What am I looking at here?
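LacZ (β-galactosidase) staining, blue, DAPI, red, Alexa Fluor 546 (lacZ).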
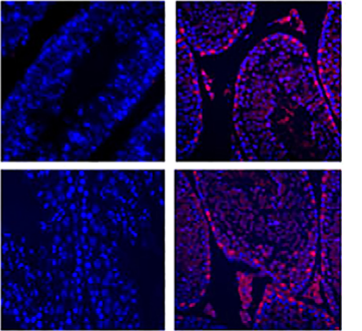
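Four fluorescence images show tissue made of densely packed blue-stained nuclei. In the right-hand pair the tissue falls into round to oval tubule cross-sections, each bounded by a thin wall and separated from its neighbours by narrow dark gaps. Within these tubules red staining marks cells, many of them lined up along the outer rim of the tubule, with further red cells scattered among the nuclei toward the interior. The left-hand pair shows crowded blue nuclei arranged in bands and tubule-like profiles with no red staining at all.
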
